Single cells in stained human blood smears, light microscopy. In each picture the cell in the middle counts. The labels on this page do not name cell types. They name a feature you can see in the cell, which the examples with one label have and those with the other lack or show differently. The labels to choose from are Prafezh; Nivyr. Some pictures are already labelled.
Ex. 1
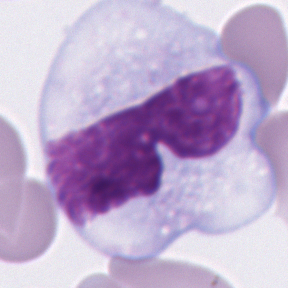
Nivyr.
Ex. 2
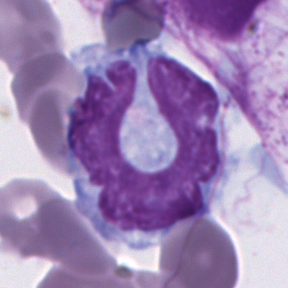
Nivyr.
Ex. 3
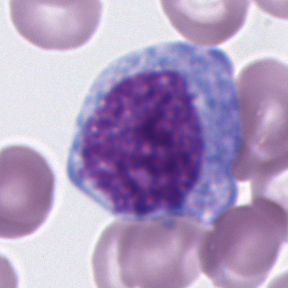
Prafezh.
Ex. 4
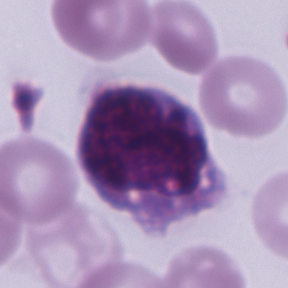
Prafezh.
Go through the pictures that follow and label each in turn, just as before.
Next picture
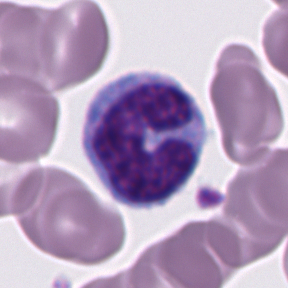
Nivyr.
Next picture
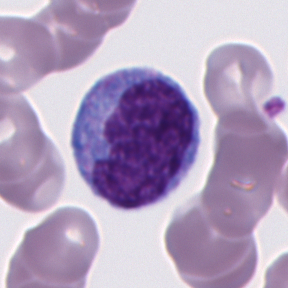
Prafezh.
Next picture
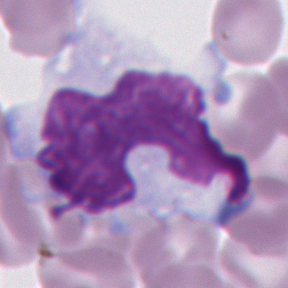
Nivyr.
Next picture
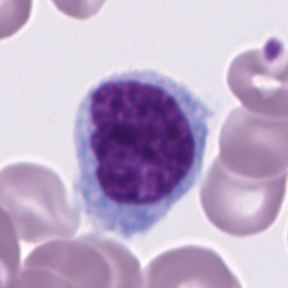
Prafezh.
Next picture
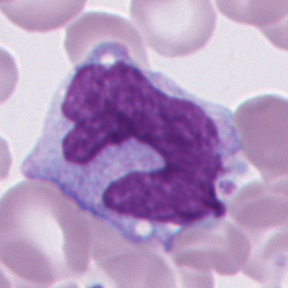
Nivyr.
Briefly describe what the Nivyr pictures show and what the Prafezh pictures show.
In Nivyr: band-shaped nucleus. In Prafezh: round or oval nucleus.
